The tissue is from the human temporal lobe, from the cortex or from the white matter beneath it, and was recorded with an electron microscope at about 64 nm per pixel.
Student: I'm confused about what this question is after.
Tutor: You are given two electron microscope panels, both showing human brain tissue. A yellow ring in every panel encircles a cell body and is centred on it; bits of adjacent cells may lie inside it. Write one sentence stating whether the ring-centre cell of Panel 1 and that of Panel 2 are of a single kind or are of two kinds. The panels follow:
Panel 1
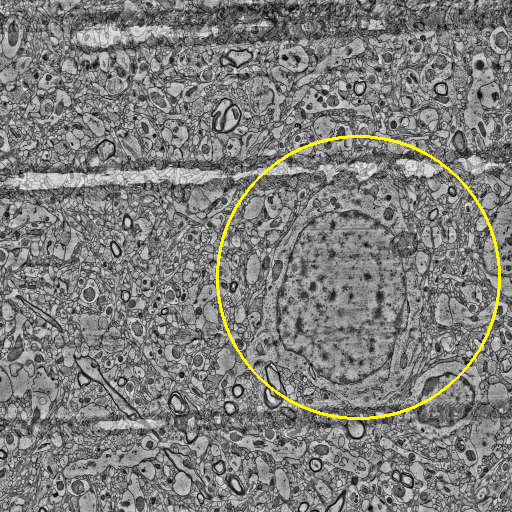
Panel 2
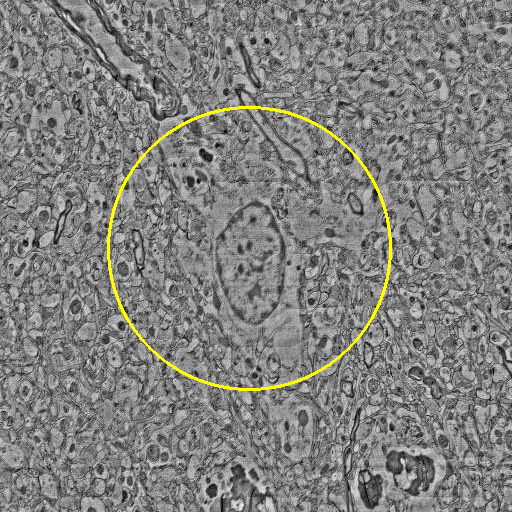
Here, the Panel 1 ring-centre cell and the Panel 2 ring-centre cell are of two kinds.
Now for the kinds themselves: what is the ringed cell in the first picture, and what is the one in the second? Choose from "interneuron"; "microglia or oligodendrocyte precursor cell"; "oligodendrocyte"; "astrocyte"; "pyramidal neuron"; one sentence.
Here the first cell is an interneuron and the second cell is an astrocyte.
